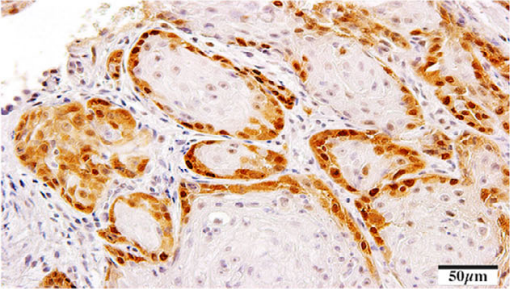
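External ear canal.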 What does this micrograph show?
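Squamous cell carcinoma with rounded tumor lobes of large polygonal epithelial cells set in fibrous stroma. Strong brown nuclear stain marks the cells along the outer rims of the lobes, often in one to several layers. The central cells of the lobes have abundant pale pink cytoplasm and small round nuclei without brown stain. The stroma between lobes holds scattered small spindle-shaped cells with blue nuclei.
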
